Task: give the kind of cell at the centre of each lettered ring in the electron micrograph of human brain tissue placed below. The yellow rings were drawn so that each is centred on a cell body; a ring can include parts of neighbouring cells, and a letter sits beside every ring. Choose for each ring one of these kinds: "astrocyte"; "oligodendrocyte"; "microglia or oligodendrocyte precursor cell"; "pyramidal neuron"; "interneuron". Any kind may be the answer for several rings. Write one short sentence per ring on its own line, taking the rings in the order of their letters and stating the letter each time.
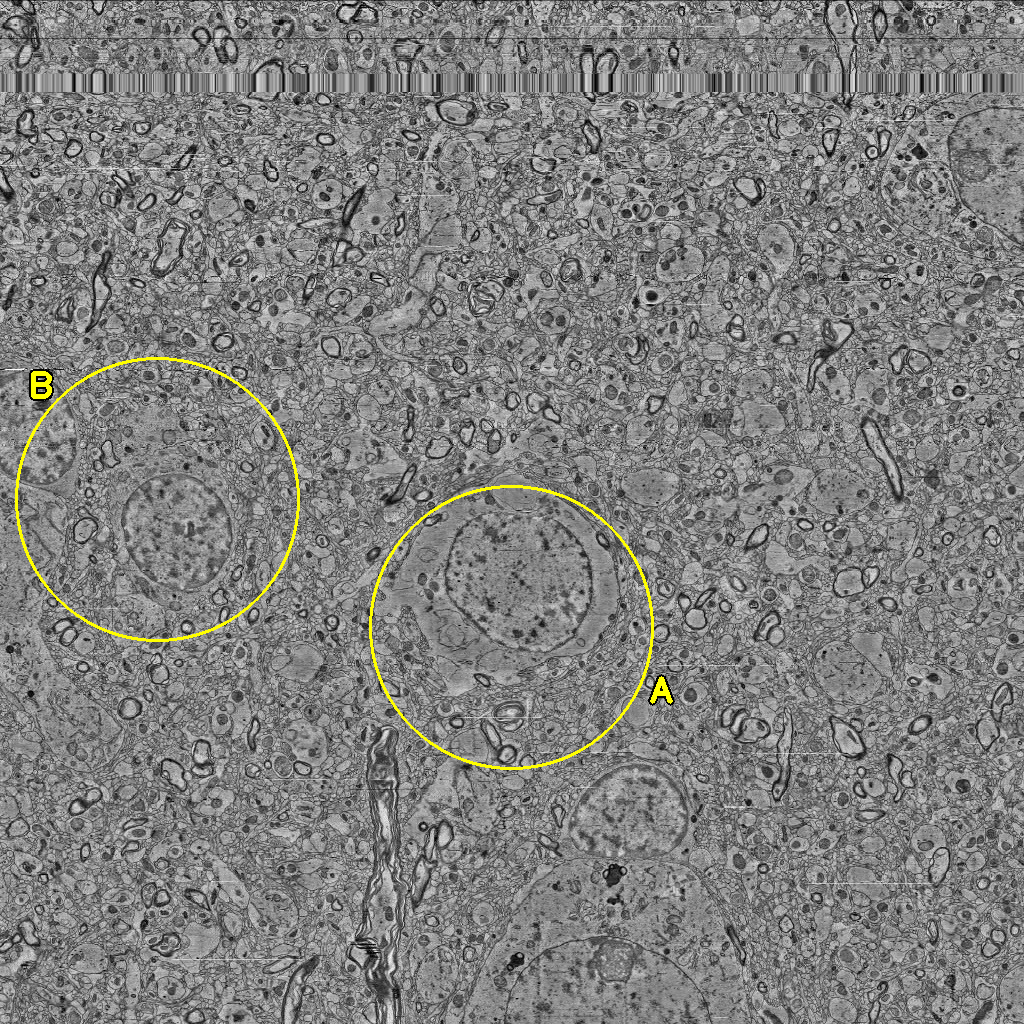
The yellow ring marked A surrounds an astrocyte.
The yellow ring marked B surrounds an oligodendrocyte.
